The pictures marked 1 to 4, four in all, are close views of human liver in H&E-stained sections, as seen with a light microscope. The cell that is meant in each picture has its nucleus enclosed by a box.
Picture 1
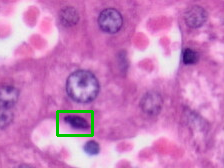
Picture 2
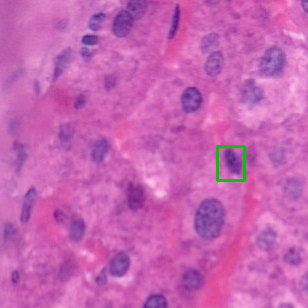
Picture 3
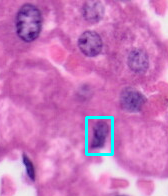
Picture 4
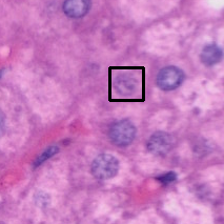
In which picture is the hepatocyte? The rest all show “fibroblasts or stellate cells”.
4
